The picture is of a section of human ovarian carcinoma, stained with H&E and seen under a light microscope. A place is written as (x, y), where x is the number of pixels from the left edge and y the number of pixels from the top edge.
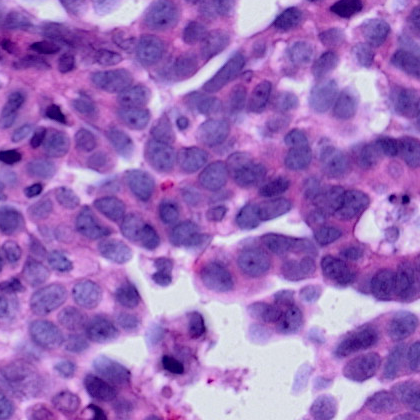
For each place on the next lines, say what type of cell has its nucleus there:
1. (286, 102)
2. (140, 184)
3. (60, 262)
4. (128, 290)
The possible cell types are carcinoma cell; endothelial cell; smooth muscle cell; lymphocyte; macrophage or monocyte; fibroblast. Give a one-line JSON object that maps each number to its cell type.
{"1": "carcinoma cell", "2": "carcinoma cell", "3": "macrophage or monocyte", "4": "carcinoma cell"}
